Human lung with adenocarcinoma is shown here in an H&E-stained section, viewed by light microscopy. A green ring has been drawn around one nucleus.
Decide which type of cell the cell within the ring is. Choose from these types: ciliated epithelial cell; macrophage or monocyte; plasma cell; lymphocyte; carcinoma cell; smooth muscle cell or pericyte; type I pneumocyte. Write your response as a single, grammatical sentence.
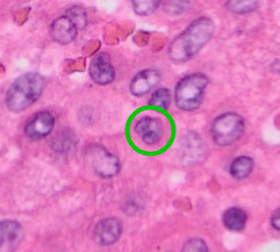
Within the stained tissue, the cell within the ring is a macrophage or monocyte.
